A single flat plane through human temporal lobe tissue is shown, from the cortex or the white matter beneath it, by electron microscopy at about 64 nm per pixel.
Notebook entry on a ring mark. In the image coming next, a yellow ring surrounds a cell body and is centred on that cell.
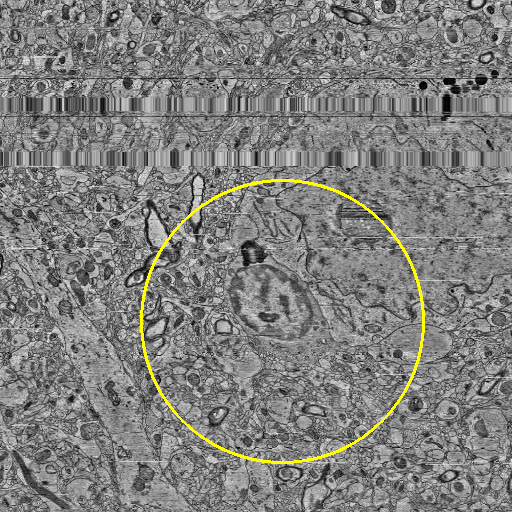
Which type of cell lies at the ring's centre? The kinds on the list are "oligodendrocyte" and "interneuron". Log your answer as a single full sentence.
Centred in the yellow ring is an oligodendrocyte, the cell recorded for this image.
